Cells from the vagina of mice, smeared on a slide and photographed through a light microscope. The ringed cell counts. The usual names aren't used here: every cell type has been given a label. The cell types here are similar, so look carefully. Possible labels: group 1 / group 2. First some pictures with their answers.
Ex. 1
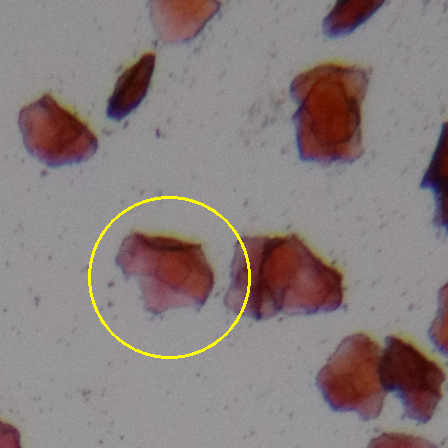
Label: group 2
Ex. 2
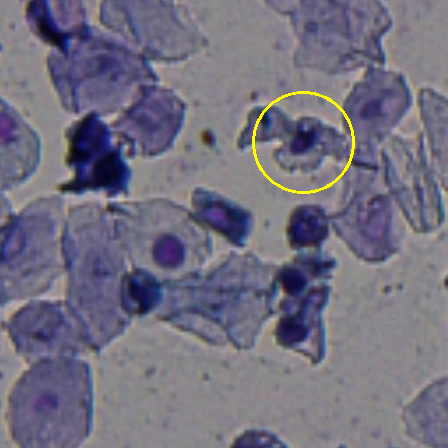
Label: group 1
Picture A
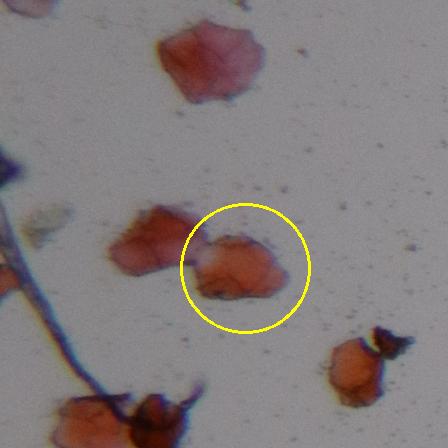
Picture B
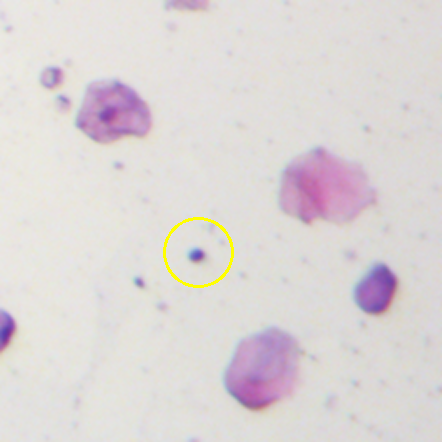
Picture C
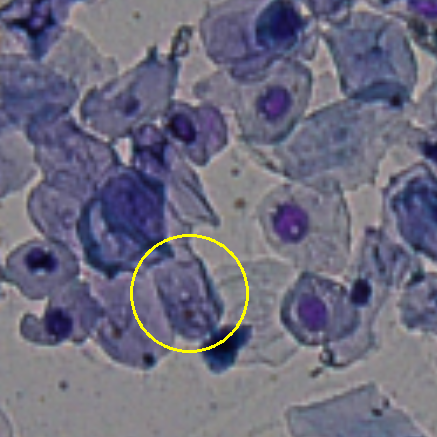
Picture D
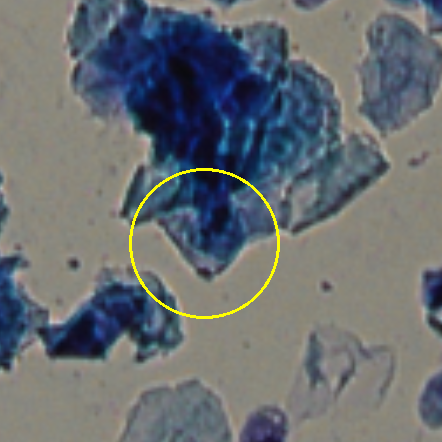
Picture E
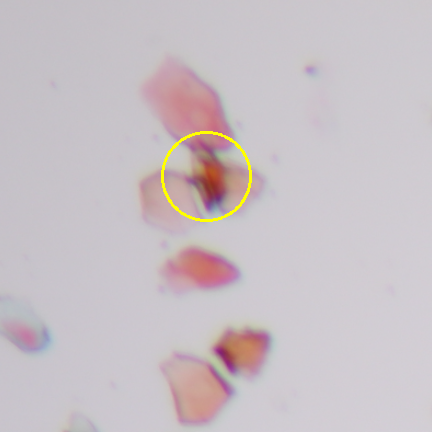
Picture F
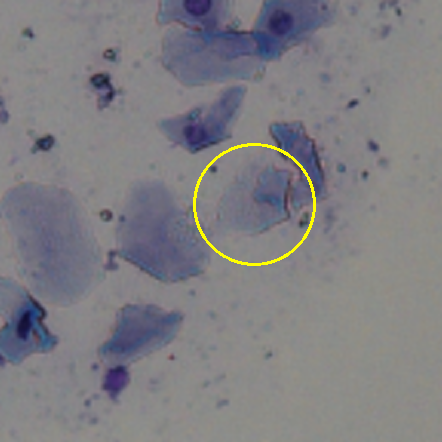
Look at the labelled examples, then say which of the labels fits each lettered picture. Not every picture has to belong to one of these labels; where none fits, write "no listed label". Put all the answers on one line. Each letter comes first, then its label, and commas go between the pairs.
A group 2, B no listed label, C group 2, D group 2, E group 2, F group 2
